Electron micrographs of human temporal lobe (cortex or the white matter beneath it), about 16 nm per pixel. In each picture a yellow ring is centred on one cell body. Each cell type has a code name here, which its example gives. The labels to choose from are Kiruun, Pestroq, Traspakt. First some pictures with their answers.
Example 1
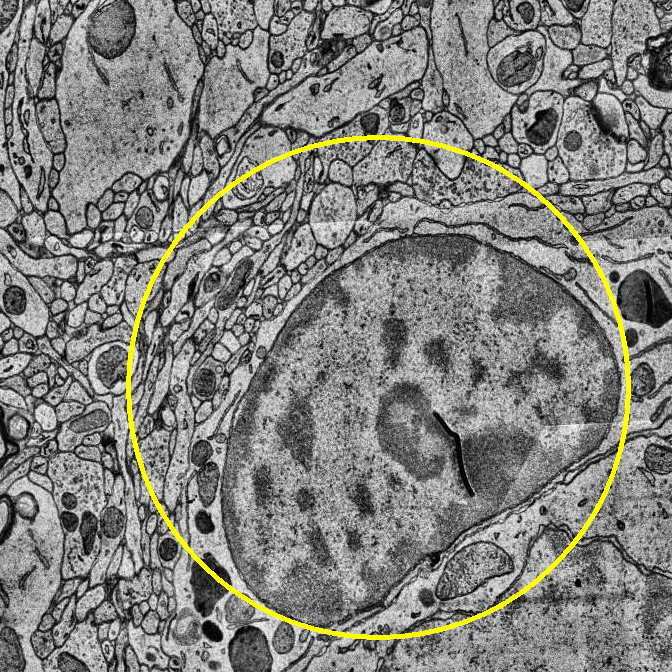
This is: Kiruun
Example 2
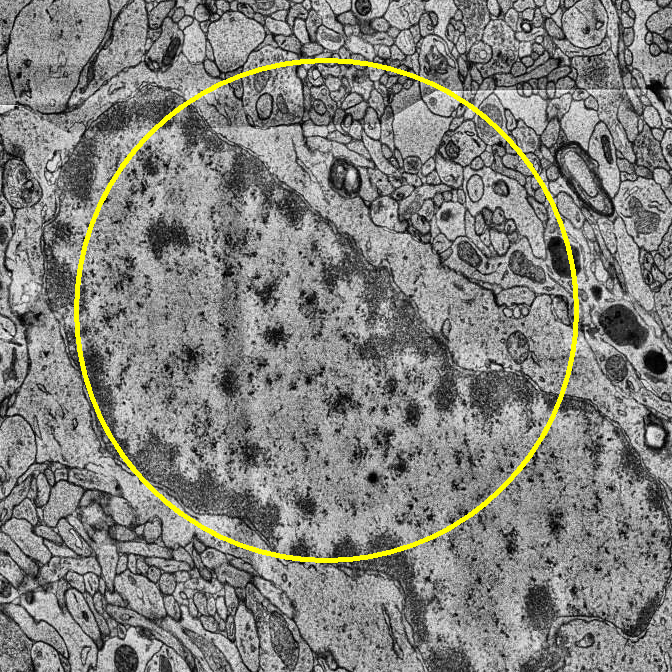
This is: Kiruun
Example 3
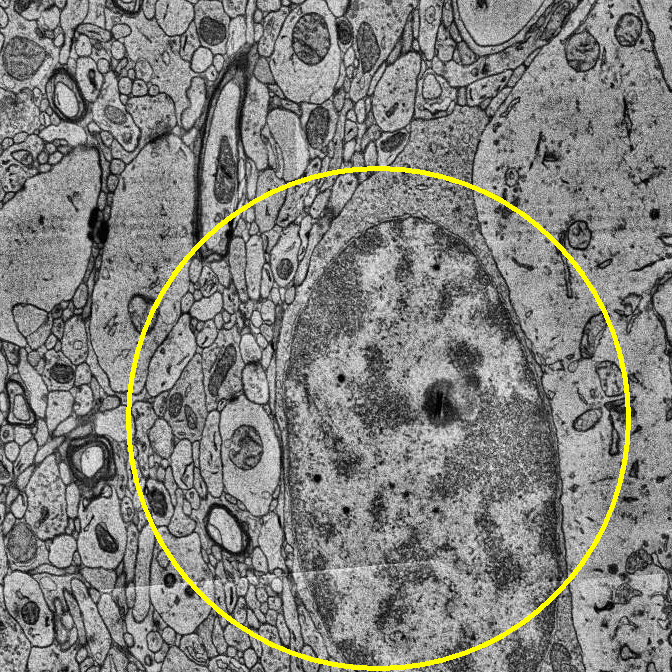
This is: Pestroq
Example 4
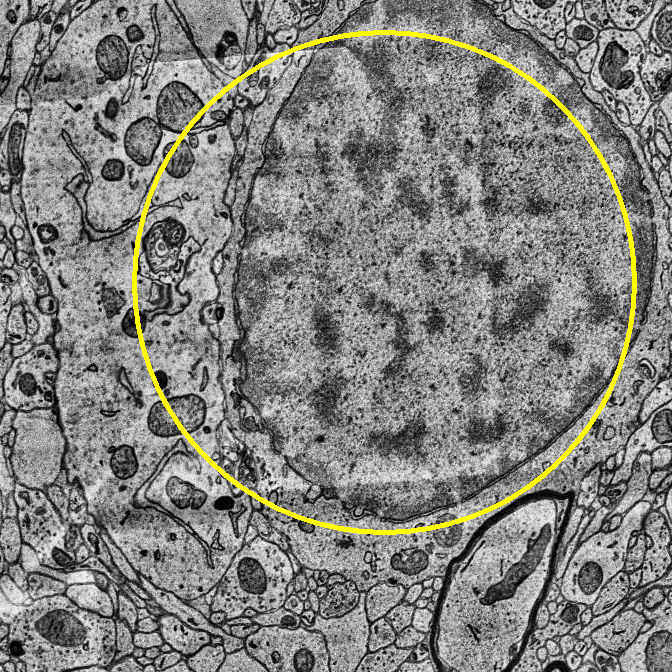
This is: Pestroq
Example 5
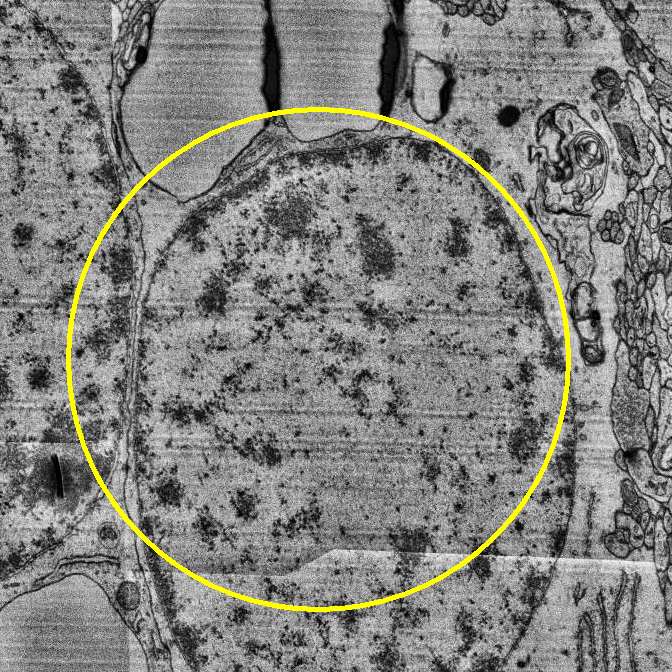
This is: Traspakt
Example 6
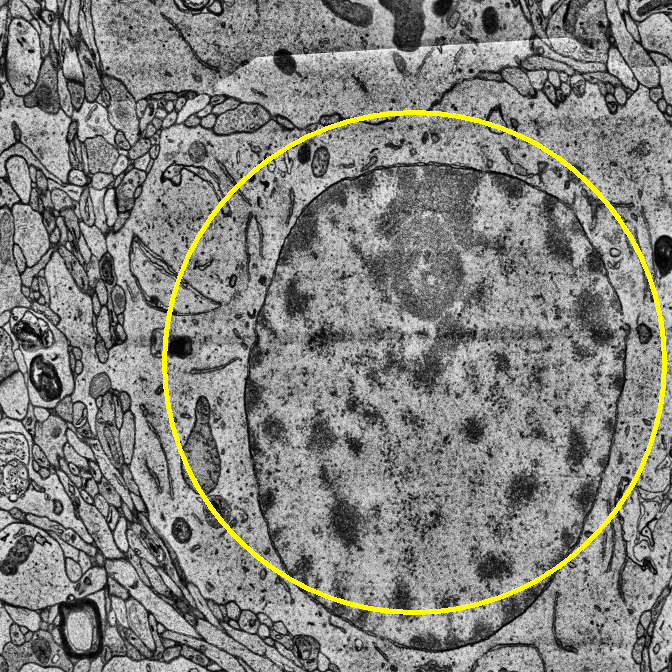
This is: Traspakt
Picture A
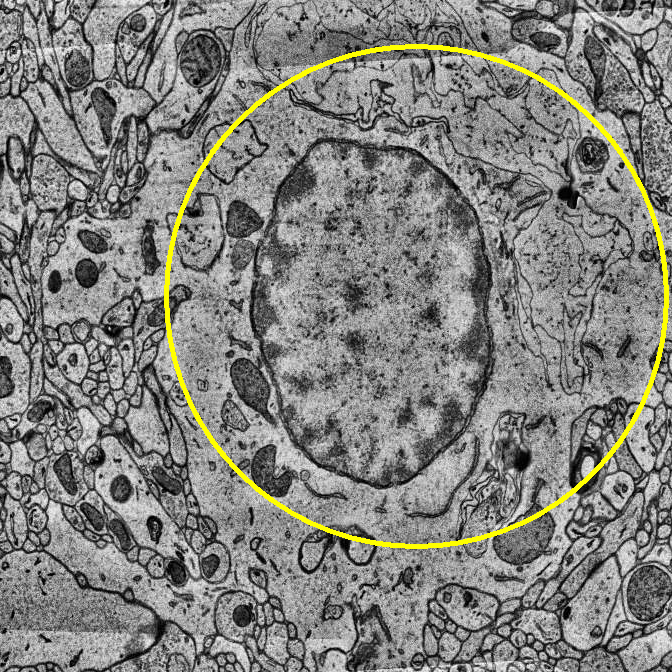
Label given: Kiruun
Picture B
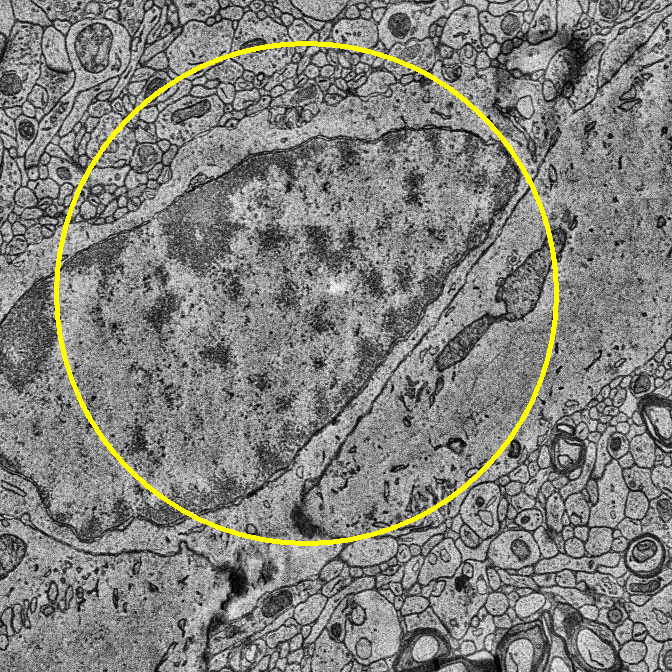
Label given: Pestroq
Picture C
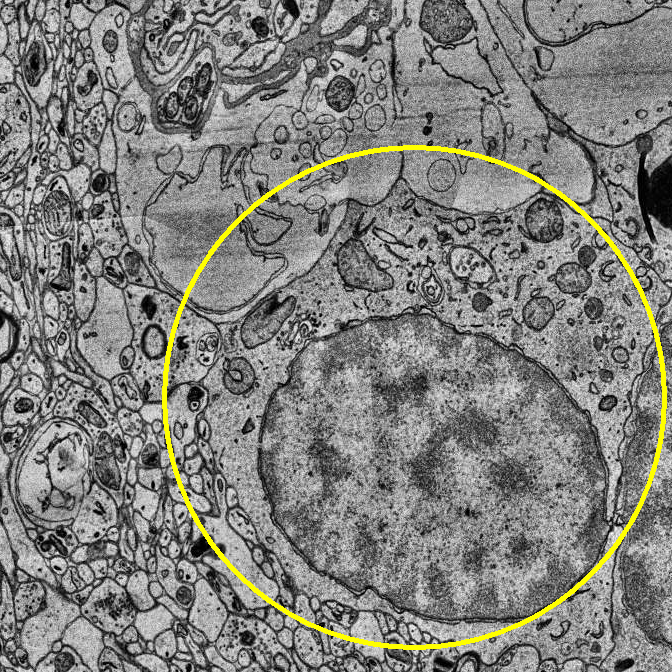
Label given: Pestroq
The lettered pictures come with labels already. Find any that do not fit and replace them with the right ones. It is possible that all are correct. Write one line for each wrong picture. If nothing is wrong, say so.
A should be Traspakt, not Kiruun
B should be Kiruun, not Pestroq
